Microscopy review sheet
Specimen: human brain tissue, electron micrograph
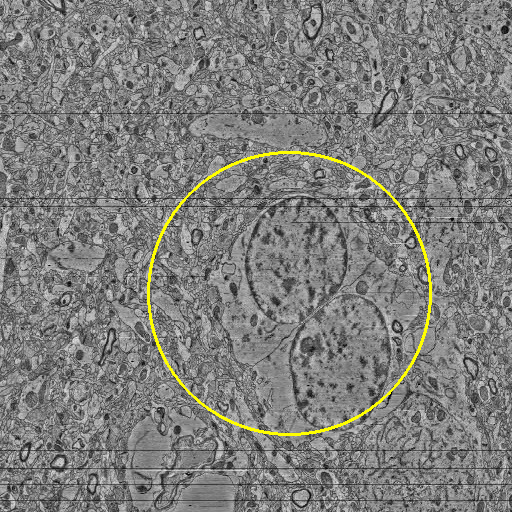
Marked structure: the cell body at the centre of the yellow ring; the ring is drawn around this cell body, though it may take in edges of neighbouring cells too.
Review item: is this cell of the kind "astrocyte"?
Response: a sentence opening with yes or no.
Yes, this cell is of that kind.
